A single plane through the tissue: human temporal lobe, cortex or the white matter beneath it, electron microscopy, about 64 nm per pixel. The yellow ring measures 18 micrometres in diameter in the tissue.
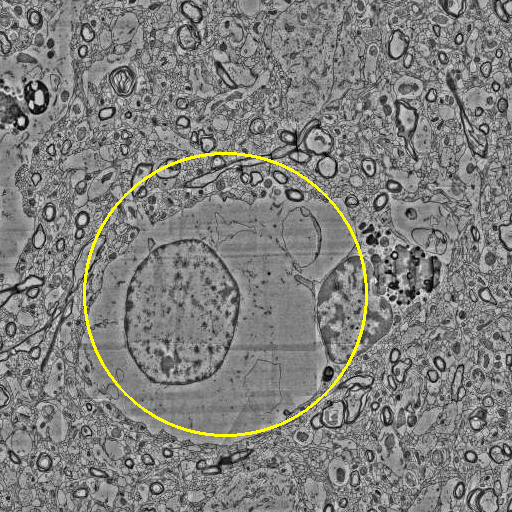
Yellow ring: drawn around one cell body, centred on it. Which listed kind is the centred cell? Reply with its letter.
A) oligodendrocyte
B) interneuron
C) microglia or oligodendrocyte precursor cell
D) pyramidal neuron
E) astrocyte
E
